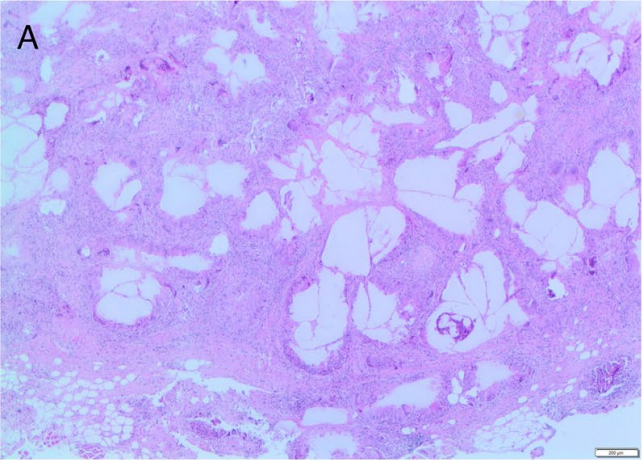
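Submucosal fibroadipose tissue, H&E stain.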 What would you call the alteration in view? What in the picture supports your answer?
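Fat cells remain only at the lower edge. That points to this answer: multiple empty spaces.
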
